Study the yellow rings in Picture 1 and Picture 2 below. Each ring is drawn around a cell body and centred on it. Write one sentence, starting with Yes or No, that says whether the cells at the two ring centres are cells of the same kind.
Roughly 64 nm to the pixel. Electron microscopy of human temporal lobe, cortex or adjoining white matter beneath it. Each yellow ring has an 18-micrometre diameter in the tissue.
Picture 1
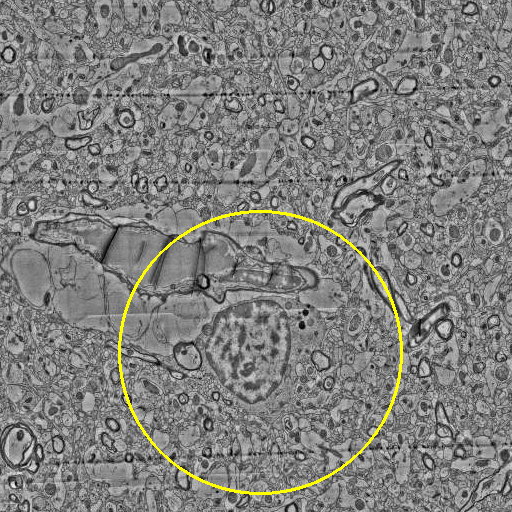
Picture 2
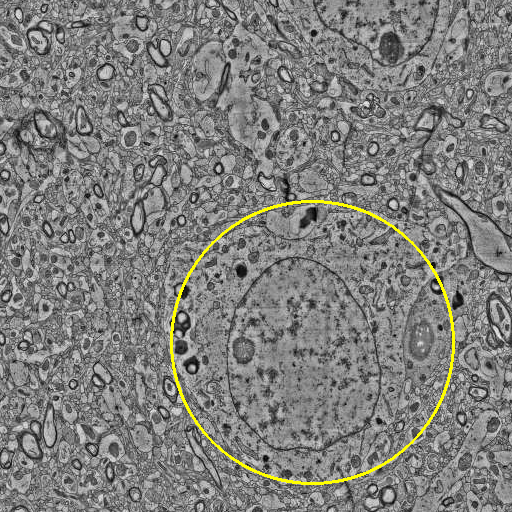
No, the cells at the ring centres are of two kinds.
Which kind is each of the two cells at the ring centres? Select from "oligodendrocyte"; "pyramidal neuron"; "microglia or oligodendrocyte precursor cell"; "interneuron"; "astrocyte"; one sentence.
The cell at the centre of the ring is an oligodendrocyte in the first picture and a pyramidal neuron in the second.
